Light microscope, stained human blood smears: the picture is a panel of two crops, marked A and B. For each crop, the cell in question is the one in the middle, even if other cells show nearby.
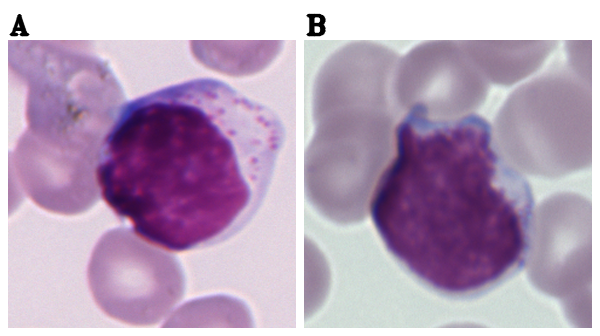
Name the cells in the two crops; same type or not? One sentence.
Yes, these two crops both show large granular lymphocytes.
